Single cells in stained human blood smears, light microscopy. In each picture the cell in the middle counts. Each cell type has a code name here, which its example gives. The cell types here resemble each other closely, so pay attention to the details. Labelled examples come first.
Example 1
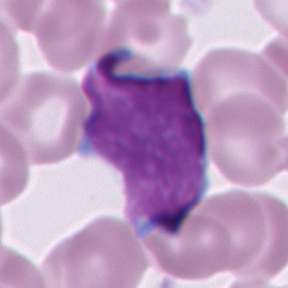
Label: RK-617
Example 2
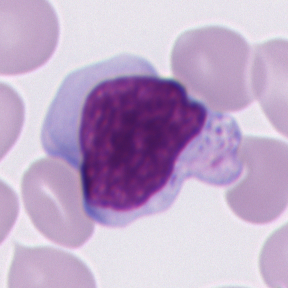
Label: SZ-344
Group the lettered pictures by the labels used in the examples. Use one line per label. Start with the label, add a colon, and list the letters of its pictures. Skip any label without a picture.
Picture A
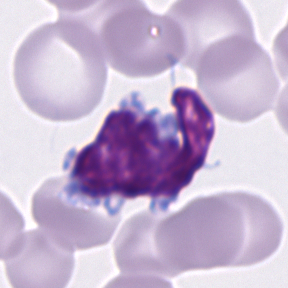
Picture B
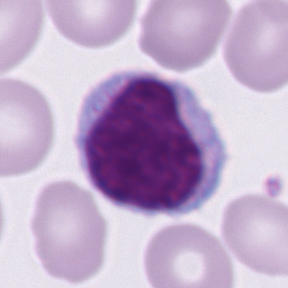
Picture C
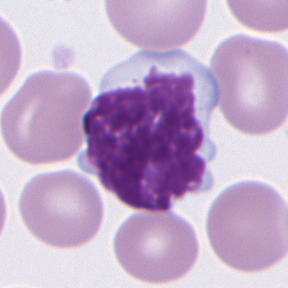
RK-617: A, B, C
